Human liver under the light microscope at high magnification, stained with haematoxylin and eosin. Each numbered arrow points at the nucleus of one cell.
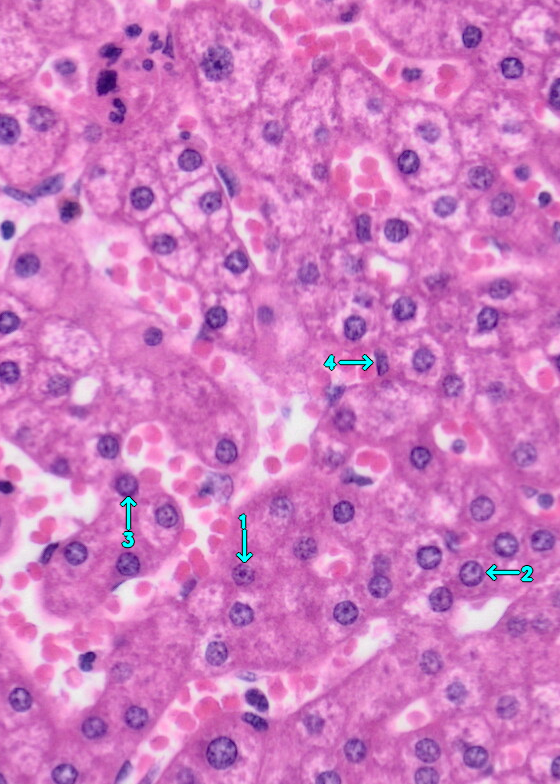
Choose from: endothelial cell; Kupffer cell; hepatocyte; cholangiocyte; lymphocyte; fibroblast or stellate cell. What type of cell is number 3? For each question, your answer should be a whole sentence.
The correct answer for cell 3 is a hepatocyte.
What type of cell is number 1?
Classified as a hepatocyte is the cell with the number 1.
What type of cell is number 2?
Cell 2 of the marked set is a hepatocyte.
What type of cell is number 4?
Looking at the numbered marks, cell 4 is an endothelial cell.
